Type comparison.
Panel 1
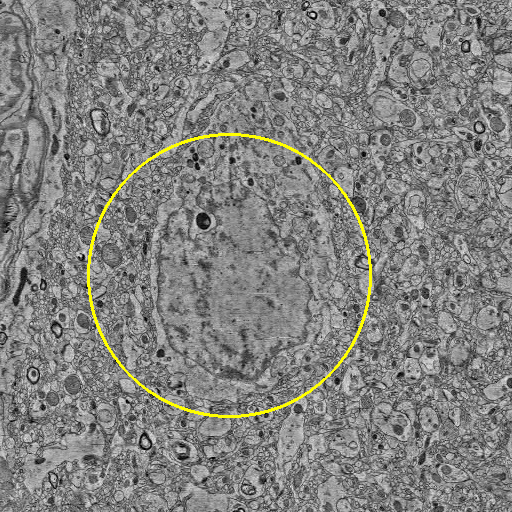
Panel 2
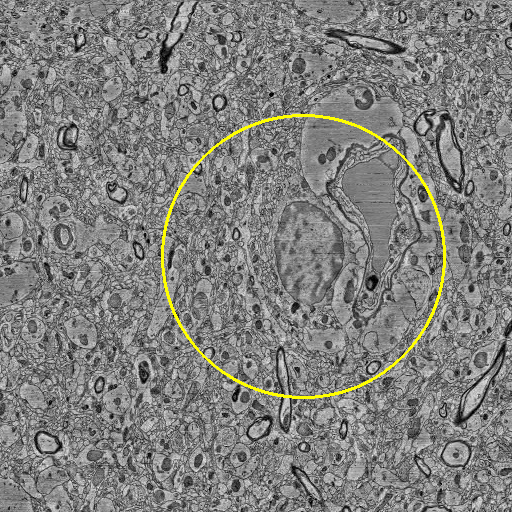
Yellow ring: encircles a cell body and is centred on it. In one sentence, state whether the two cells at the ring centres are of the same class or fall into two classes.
In these panels, the two cells at the ring centres fall into two classes.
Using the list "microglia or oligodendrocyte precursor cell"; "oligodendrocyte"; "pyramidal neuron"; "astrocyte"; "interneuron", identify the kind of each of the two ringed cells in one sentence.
The first is an interneuron and the second is an oligodendrocyte.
